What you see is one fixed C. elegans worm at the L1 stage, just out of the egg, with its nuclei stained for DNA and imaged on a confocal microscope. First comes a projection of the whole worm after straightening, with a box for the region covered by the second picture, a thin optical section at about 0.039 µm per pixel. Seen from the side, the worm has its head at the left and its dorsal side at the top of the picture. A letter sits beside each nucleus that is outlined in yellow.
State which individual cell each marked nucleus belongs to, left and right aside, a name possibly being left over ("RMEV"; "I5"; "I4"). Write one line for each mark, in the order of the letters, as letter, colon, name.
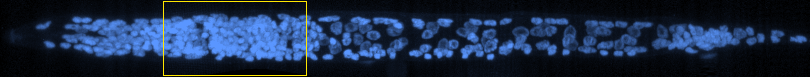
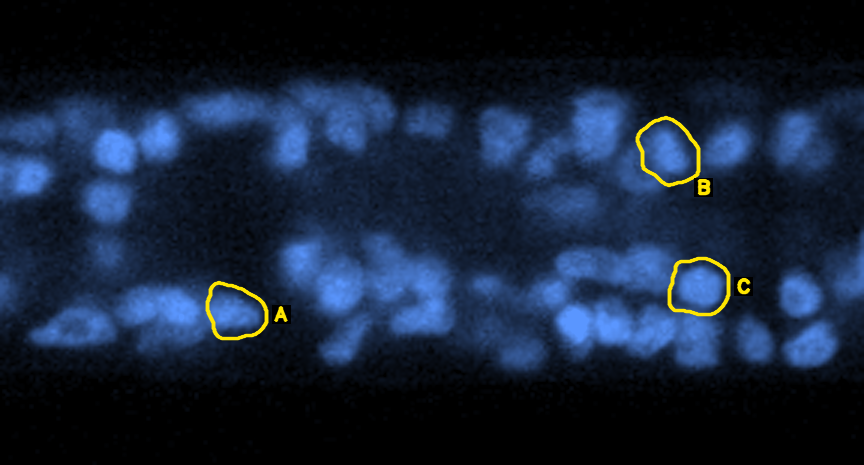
A: RMEV
B: I4
C: I5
